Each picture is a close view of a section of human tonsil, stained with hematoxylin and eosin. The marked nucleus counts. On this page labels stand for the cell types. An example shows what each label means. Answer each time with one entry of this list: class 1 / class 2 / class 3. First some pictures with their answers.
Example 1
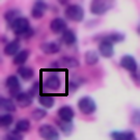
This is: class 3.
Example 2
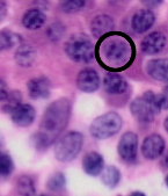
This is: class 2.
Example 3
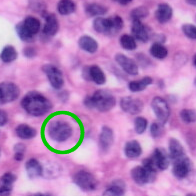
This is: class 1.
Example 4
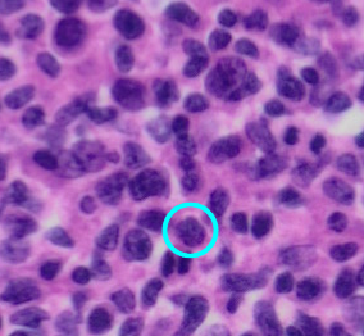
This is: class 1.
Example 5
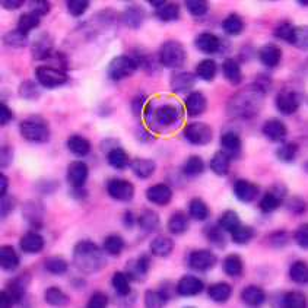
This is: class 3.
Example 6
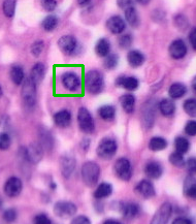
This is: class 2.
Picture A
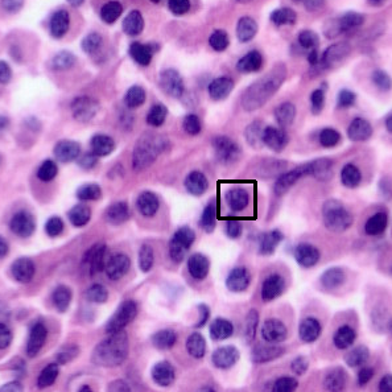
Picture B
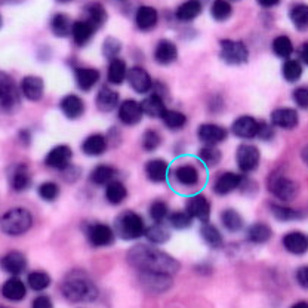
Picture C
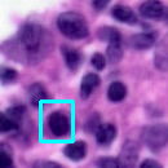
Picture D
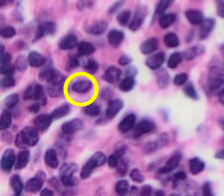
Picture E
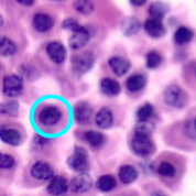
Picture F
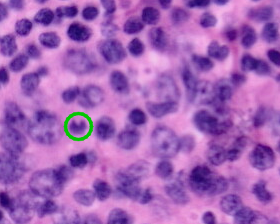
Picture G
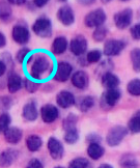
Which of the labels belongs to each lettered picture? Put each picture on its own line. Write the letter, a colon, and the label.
A: class 2.
B: class 3.
C: class 2.
D: class 3.
E: class 2.
F: class 1.
G: class 3.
